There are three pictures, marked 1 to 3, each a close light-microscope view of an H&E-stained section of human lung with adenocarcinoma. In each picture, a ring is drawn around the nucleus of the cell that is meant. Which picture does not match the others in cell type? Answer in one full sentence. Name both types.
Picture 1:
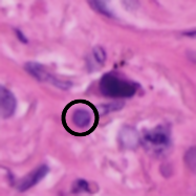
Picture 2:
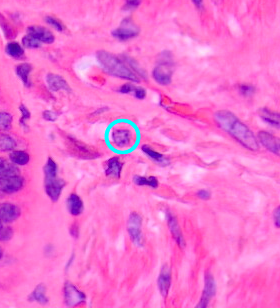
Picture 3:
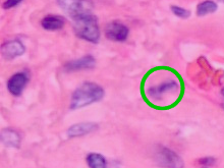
Picture 3 differs, because its cell is a fibroblast and the rest are mast cells.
